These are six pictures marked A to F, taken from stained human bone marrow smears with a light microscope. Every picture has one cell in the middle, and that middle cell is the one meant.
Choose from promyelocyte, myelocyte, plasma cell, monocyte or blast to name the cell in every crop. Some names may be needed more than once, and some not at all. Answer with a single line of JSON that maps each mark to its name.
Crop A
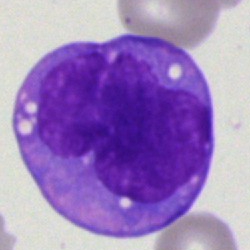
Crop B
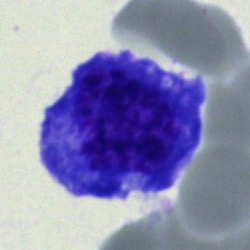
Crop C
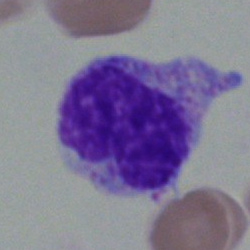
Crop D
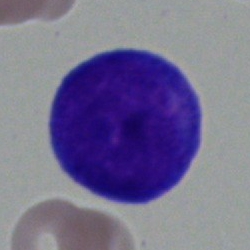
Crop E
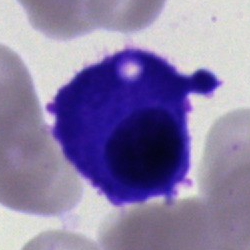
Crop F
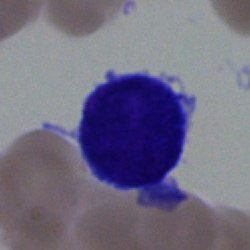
{"A": "blast", "B": "plasma cell", "C": "monocyte", "D": "blast", "E": "plasma cell", "F": "blast"}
